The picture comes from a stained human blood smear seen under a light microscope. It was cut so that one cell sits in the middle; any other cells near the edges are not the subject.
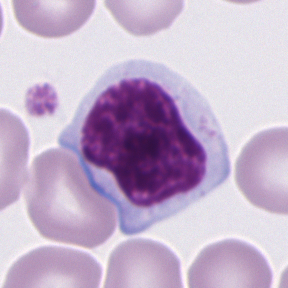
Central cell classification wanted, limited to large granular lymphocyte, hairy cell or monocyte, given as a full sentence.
The cell shown in the center of this light-microscope crop is a large granular lymphocyte.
